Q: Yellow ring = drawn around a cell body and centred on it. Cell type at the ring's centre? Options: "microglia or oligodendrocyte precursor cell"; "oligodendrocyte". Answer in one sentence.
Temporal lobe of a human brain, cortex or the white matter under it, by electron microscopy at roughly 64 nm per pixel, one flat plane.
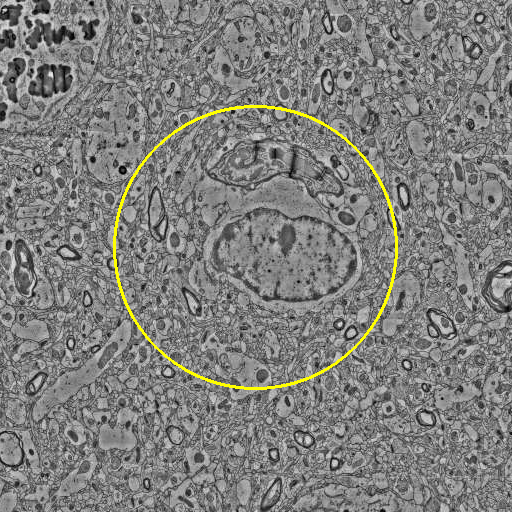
Centred in the ring is a microglial cell or oligodendrocyte precursor cell.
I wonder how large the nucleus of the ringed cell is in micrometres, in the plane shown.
The nucleus comes to approximately 9 by 6 micrometres and is clearly longer than it is wide in this plane.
